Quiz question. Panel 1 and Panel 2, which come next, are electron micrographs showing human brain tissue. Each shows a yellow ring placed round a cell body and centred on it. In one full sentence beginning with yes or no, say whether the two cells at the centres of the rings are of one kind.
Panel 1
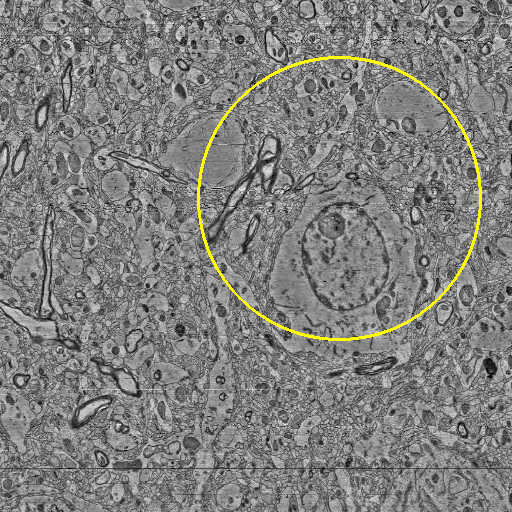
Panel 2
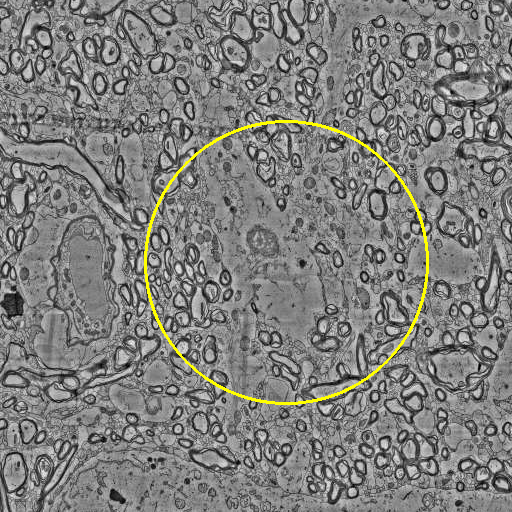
Yes, Panel 1 and Panel 2 show one kind of cell at the centre of the ring.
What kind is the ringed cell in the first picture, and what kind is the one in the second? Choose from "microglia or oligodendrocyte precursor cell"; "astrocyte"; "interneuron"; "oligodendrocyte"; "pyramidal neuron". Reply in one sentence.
Both the first and the second picture show an astrocyte in the ring.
